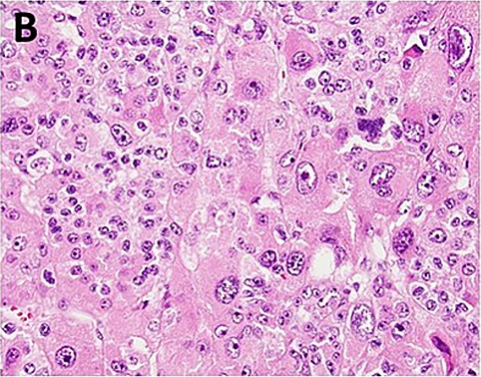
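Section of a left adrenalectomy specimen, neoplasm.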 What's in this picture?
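The cells are large and polygonal with abundant pink, finely granular cytoplasm and fairly distinct borders. Their nuclei vary strikingly in size and shape: some are small and round, while others are greatly enlarged, with vesicular chromatin and prominent nucleoli. A dark, irregular, lobulated nucleus stands out among the cells. A few cells contain clear cytoplasmic vacuoles.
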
